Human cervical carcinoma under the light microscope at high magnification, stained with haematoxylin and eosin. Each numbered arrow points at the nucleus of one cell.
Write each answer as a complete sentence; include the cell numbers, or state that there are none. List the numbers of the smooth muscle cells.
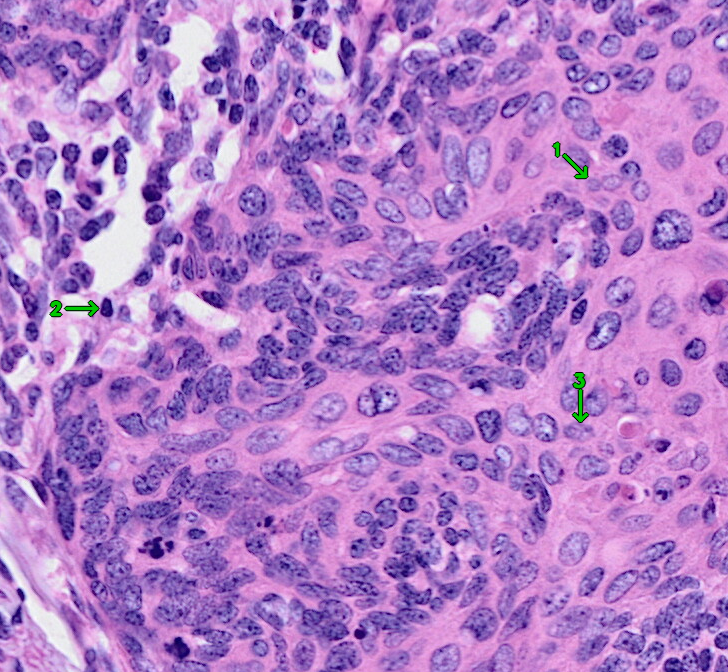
Concerning the numbered cells, no smooth muscle cells are among them.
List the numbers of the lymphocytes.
Of those with numbers, only cell 2 is a lymphocyte.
